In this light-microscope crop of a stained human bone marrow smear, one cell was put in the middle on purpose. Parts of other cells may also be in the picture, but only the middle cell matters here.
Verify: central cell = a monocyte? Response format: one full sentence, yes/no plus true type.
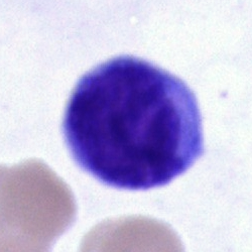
No, the centrally placed cell is a blast, not a monocyte.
